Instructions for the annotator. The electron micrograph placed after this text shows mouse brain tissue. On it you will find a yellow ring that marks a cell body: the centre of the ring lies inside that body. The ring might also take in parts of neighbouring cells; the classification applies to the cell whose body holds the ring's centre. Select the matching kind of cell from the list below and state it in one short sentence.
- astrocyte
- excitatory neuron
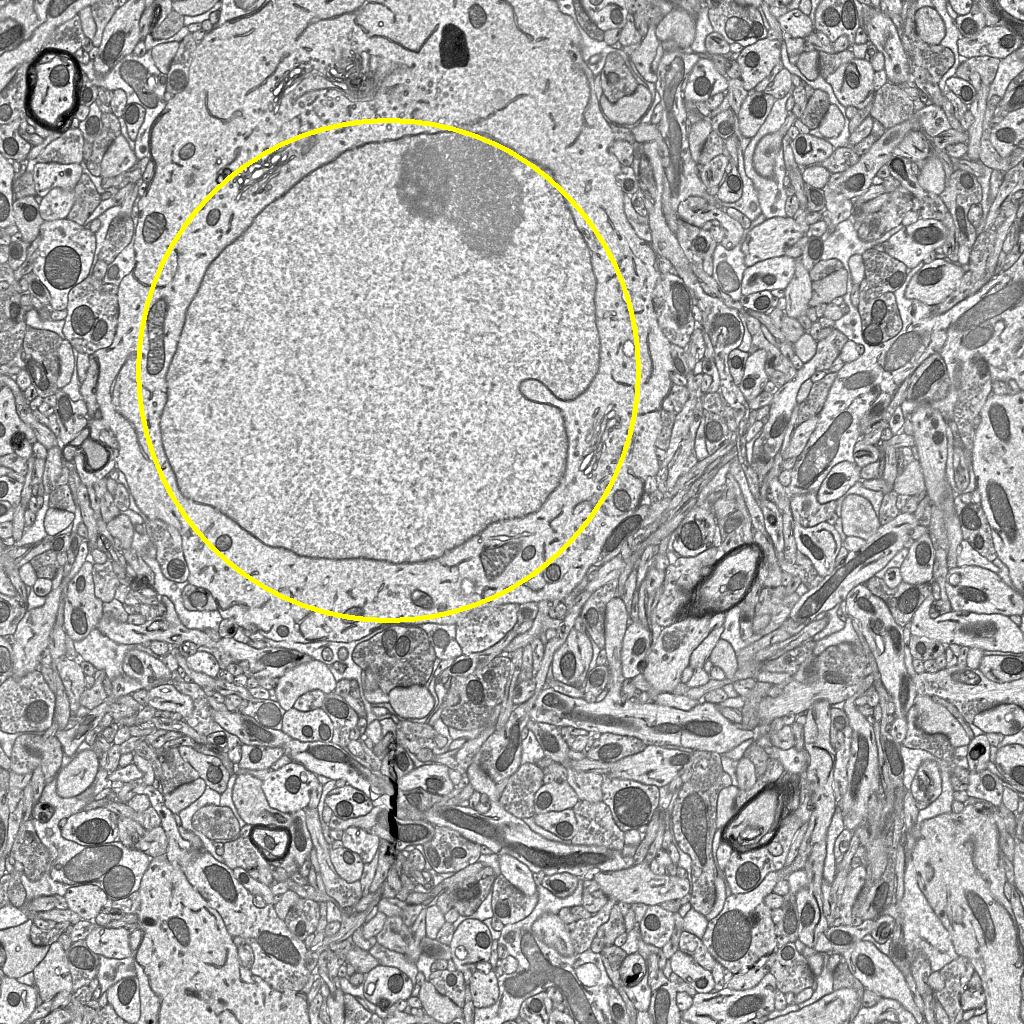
The centre of the ring lies in the cell body of an excitatory neuron.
